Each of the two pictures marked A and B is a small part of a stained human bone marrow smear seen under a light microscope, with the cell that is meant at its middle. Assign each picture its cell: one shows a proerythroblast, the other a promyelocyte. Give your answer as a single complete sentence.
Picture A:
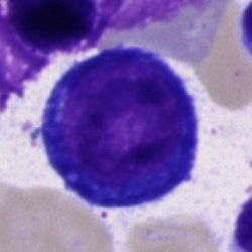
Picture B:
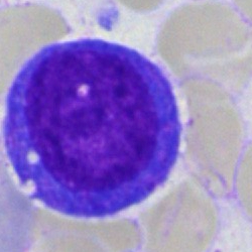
Picture B shows a promyelocyte, while picture A shows a proerythroblast.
